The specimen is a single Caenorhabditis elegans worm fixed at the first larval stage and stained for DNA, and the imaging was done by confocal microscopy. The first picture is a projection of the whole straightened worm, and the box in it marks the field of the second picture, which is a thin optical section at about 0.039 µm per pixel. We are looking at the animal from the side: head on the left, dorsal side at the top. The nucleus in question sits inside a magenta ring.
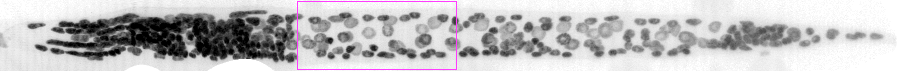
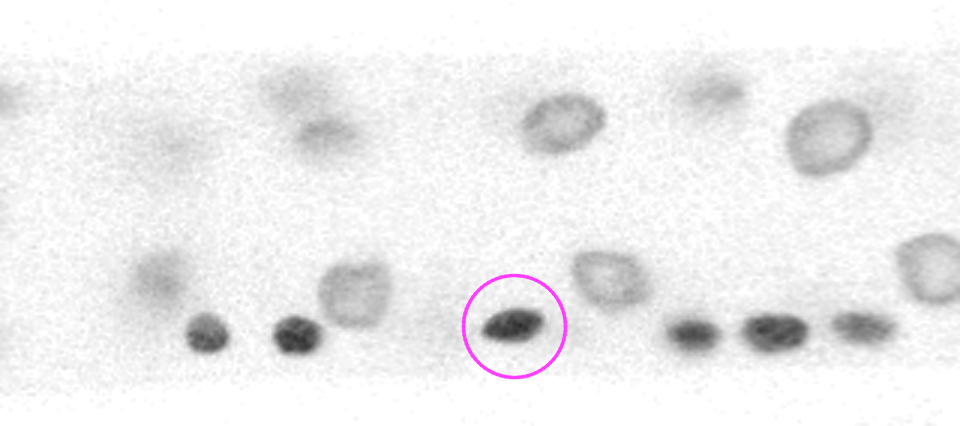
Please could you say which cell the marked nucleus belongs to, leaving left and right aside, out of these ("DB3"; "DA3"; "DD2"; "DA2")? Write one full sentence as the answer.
The cell whose nucleus is marked is DD2, a neuron.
